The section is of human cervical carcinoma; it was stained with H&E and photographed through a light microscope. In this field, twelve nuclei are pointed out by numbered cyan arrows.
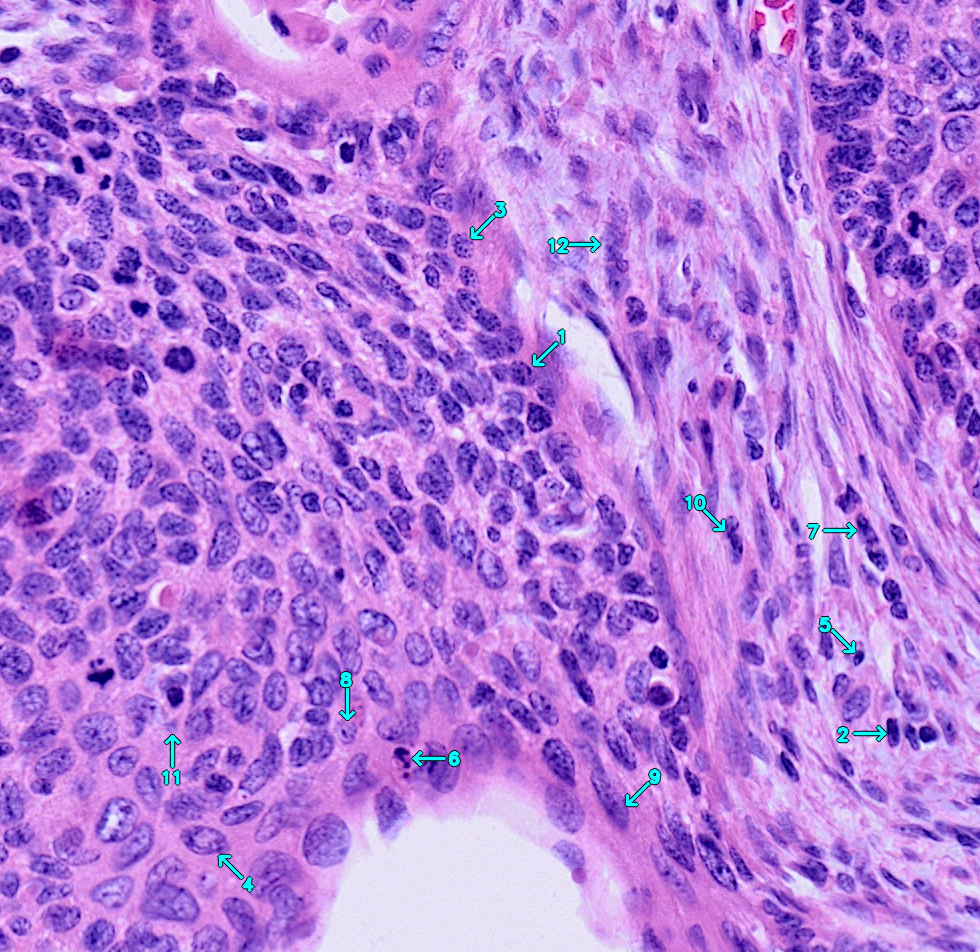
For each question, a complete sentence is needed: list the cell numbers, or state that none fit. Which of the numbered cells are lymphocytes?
The cells that have been numbered 2, 5, 7 and 10 are lymphocytes.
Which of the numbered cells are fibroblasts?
Cell 12 is a fibroblast, which is true of none of the other numbered cells.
